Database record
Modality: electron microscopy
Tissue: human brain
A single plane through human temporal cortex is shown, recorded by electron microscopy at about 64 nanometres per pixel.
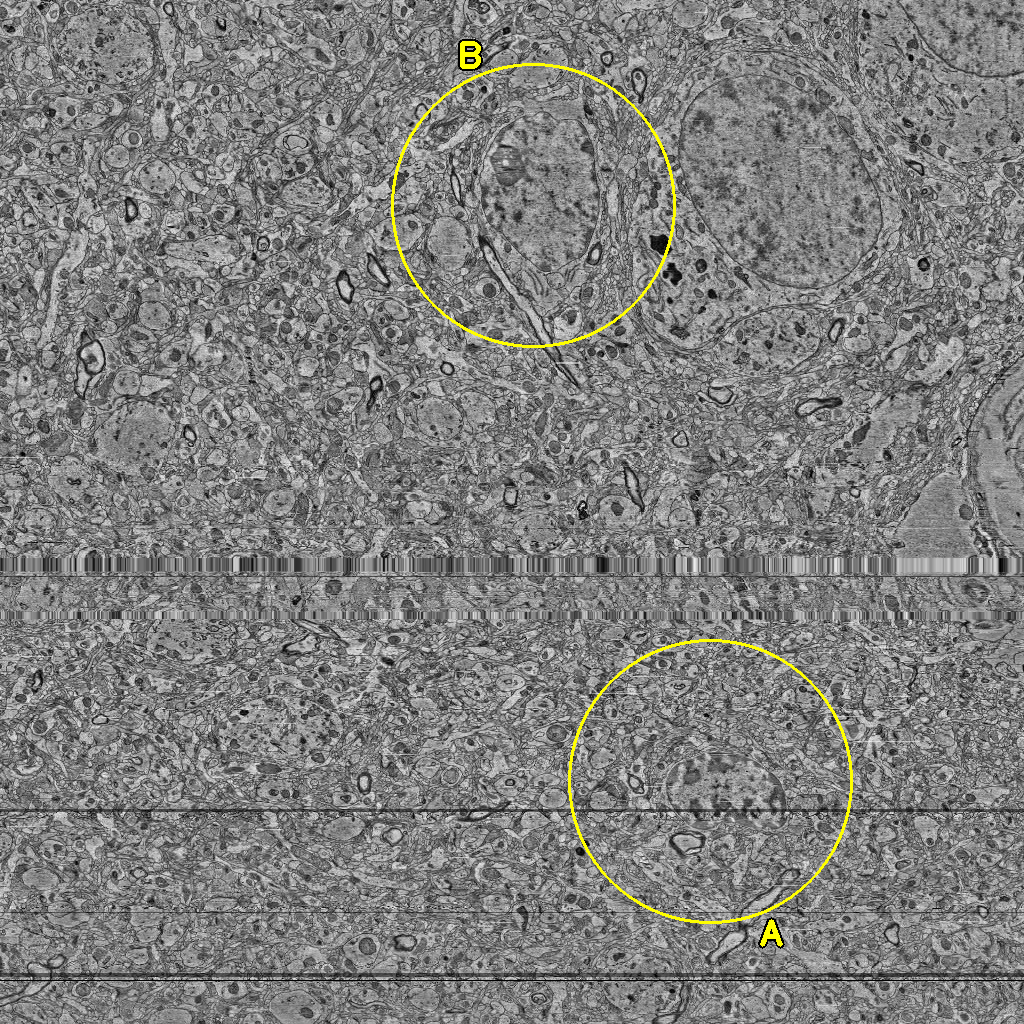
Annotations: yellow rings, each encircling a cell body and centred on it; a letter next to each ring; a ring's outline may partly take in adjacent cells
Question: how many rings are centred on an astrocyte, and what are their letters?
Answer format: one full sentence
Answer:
Of the yellow rings shown, only one centres on an astrocyte, and its label is B.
